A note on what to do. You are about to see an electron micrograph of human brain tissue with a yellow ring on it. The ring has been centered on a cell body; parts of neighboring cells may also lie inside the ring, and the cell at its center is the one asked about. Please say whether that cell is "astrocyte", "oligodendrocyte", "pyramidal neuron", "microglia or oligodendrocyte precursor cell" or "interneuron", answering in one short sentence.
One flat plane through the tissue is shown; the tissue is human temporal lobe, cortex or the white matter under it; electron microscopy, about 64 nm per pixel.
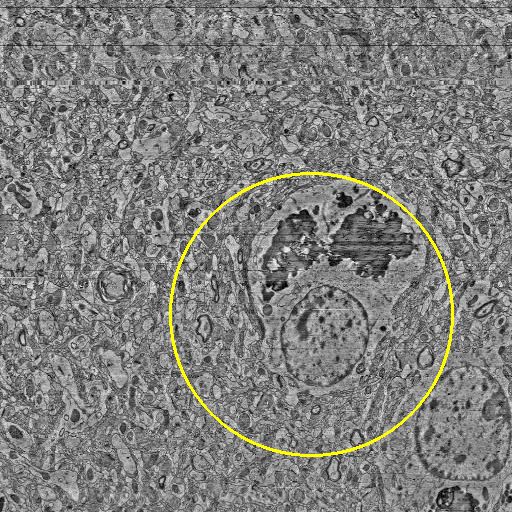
The yellow ring sits on an astrocyte.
